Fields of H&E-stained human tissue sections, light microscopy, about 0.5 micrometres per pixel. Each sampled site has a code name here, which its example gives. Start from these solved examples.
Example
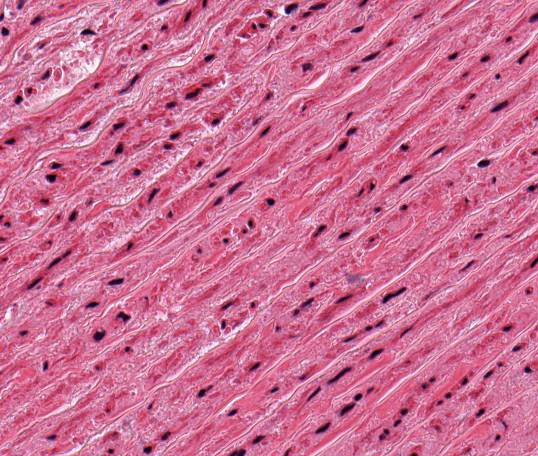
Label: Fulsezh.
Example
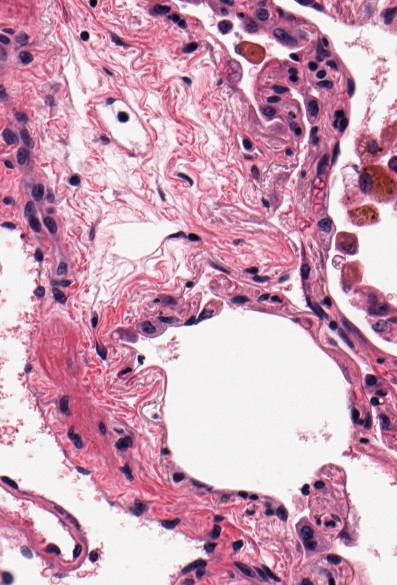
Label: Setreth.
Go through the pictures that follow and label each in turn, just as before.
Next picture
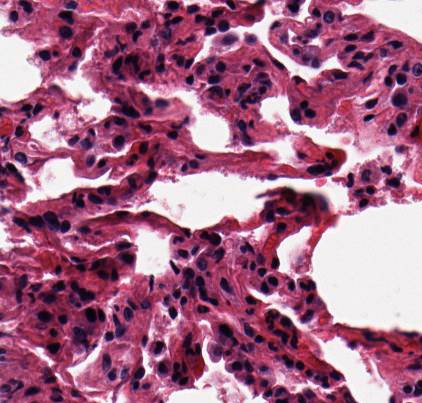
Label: Setreth.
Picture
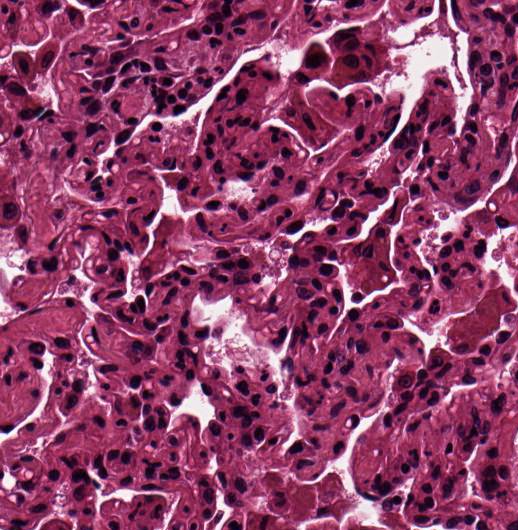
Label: Setreth.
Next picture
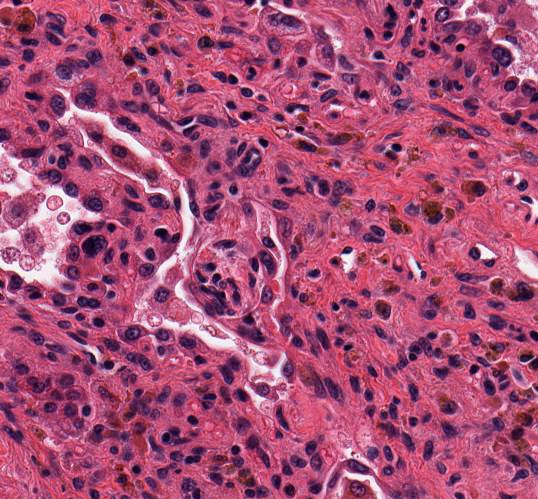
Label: Setreth.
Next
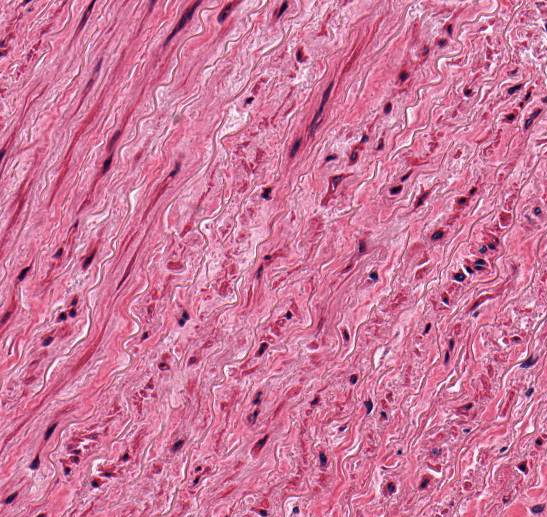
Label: Fulsezh.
